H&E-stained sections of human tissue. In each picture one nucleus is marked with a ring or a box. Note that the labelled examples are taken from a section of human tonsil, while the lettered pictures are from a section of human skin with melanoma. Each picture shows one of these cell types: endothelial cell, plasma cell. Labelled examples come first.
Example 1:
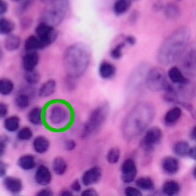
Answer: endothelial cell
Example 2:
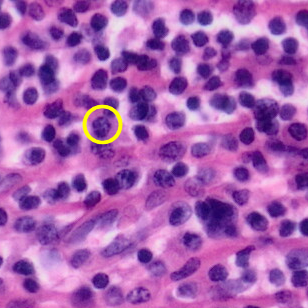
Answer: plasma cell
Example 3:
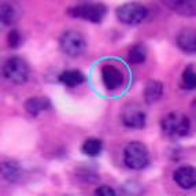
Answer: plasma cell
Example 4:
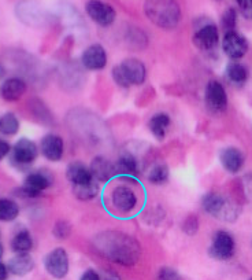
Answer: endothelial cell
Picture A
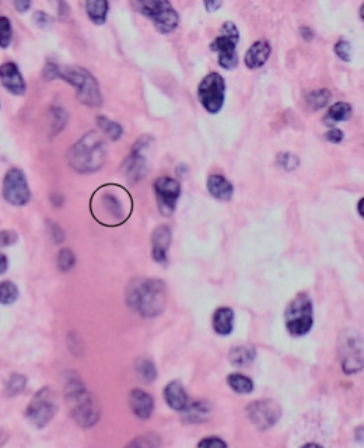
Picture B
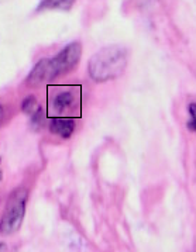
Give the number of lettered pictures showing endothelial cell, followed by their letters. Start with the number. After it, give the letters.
Count: 2 (A, B)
